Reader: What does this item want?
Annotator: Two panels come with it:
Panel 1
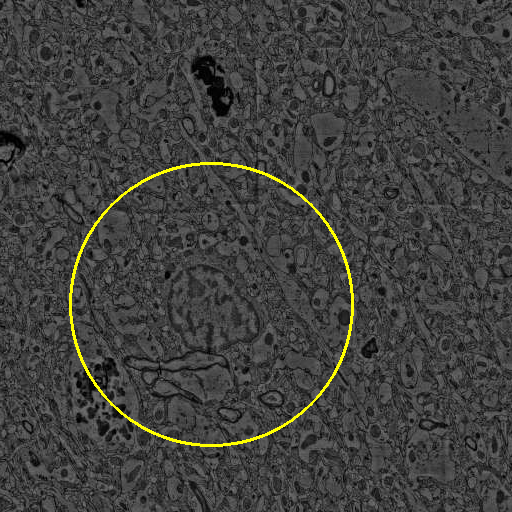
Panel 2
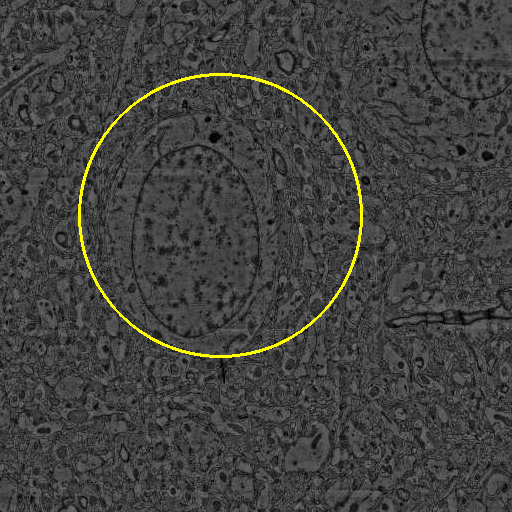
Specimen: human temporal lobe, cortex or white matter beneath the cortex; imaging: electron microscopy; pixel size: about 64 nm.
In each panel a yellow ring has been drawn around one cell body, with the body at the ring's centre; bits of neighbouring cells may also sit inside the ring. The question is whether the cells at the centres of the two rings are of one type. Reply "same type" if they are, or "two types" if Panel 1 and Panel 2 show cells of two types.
two types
